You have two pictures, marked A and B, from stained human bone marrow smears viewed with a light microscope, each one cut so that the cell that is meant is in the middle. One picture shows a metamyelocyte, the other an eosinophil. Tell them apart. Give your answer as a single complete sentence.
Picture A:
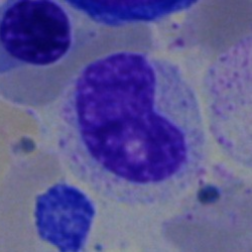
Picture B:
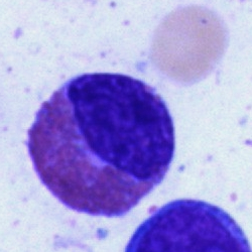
Picture A is of a metamyelocyte, and picture B is of an eosinophil.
